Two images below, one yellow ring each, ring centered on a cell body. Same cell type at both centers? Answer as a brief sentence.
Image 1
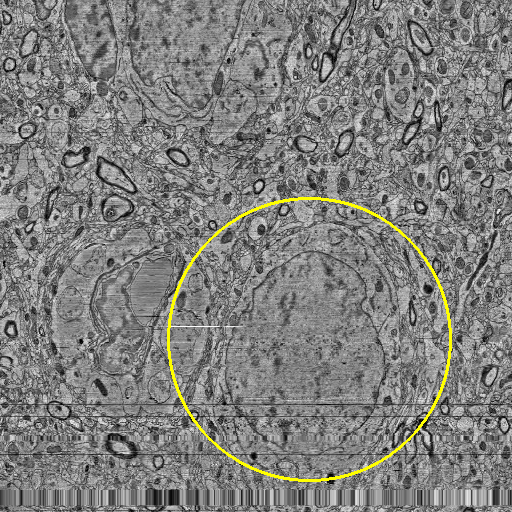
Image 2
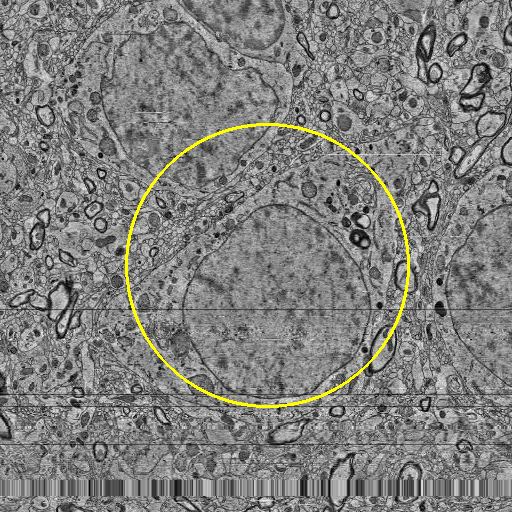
Yes, both cells are of the same type.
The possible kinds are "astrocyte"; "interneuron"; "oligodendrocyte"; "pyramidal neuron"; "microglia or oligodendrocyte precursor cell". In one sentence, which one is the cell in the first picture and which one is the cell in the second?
In each picture the ringed cell is a pyramidal neuron.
